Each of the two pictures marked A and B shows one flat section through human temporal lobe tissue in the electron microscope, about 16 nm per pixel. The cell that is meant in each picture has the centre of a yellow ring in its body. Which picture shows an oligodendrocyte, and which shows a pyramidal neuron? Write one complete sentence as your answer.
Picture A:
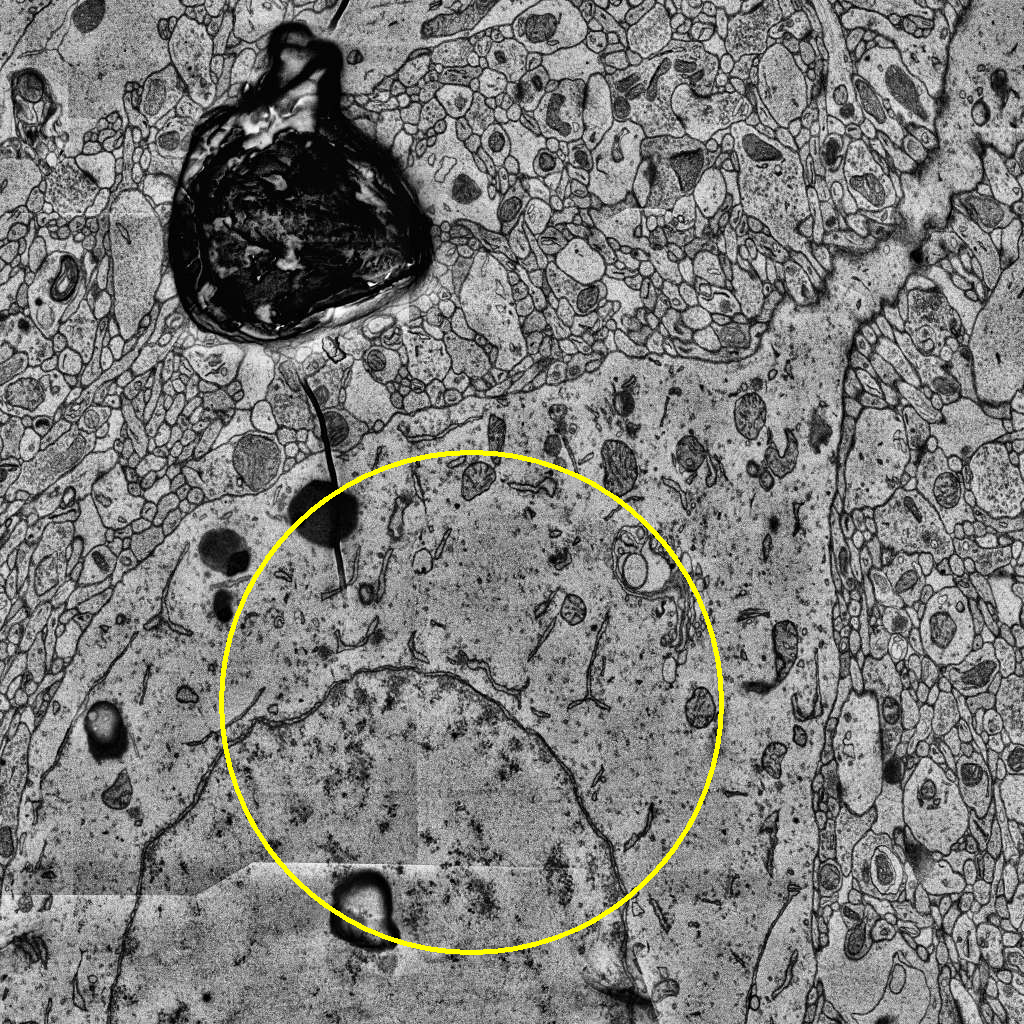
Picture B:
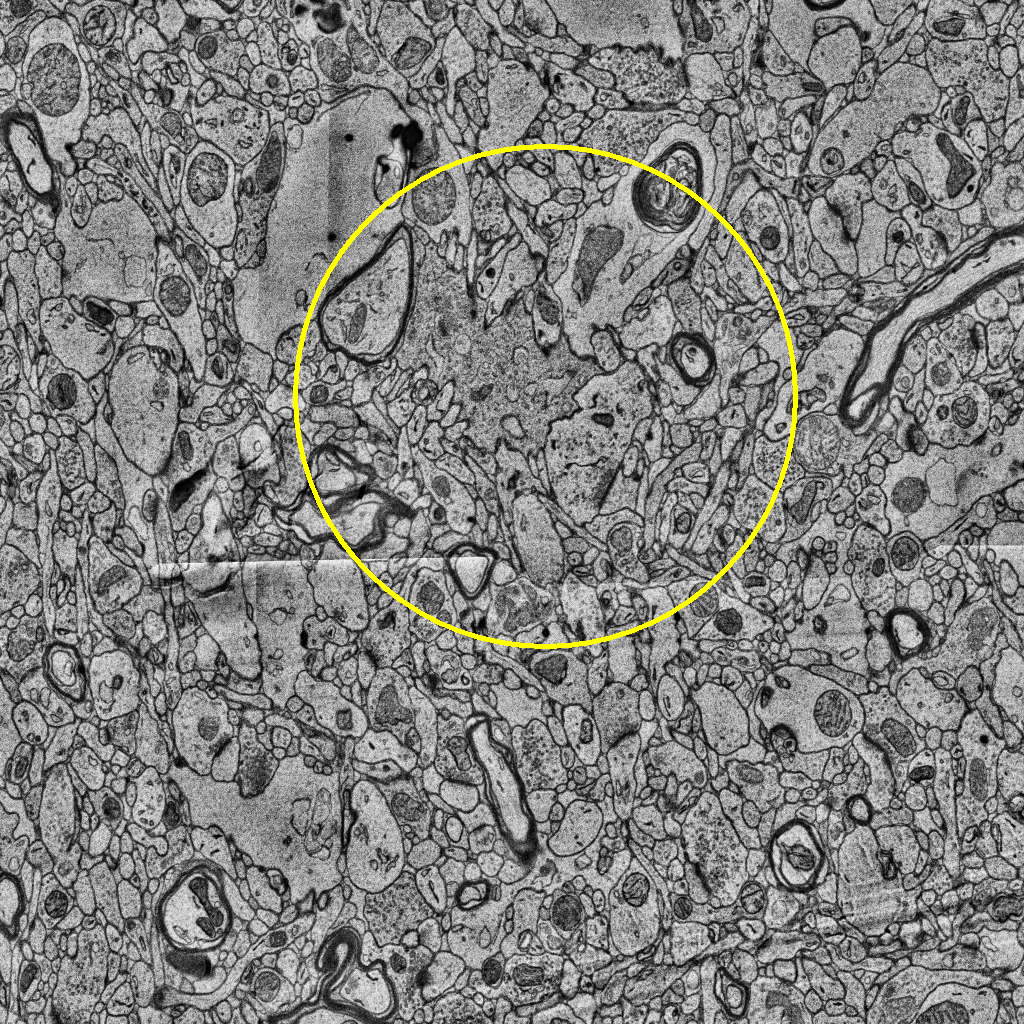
Picture B shows an oligodendrocyte, while picture A shows a pyramidal neuron.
